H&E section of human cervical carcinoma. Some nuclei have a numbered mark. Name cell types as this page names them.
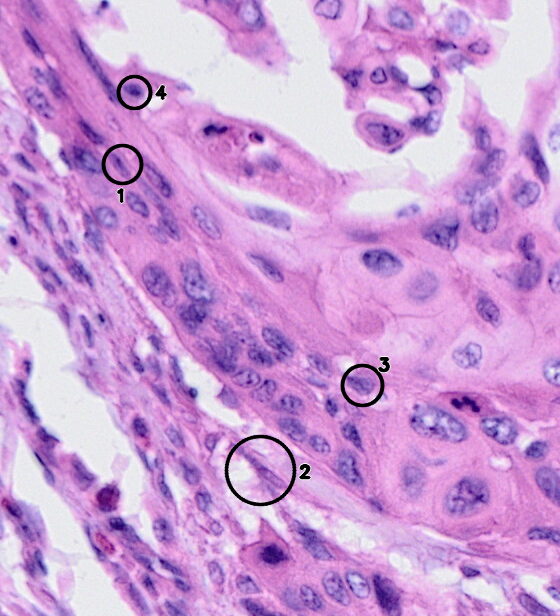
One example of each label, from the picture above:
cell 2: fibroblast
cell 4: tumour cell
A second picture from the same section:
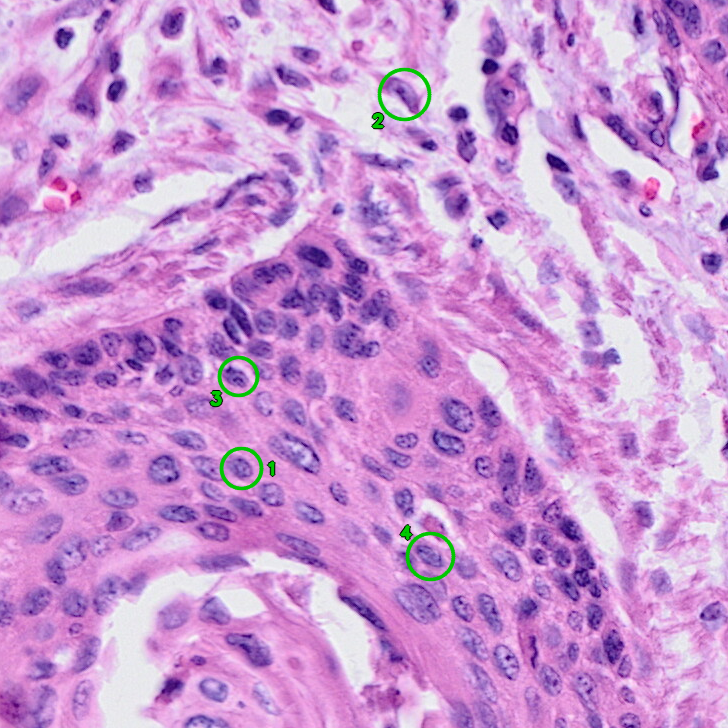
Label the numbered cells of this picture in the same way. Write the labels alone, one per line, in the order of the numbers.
tumour cell
fibroblast
tumour cell
tumour cell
